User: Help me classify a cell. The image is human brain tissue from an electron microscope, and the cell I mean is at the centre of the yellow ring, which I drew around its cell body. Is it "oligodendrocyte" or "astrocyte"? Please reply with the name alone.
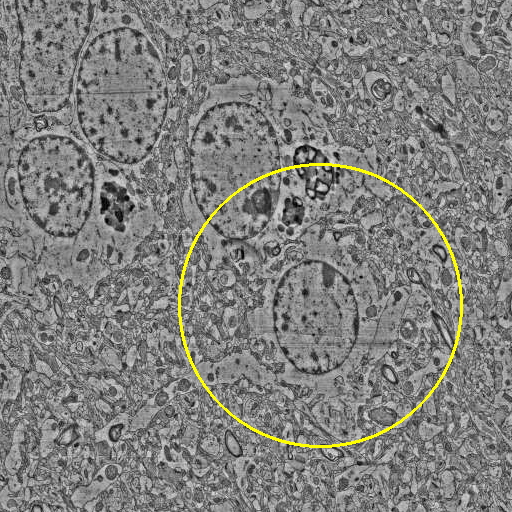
astrocyte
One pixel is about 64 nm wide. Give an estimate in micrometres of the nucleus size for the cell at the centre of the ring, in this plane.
In this plane, the nucleus of the cell at the centre of the ring measures about 7 by 5 micrometres.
